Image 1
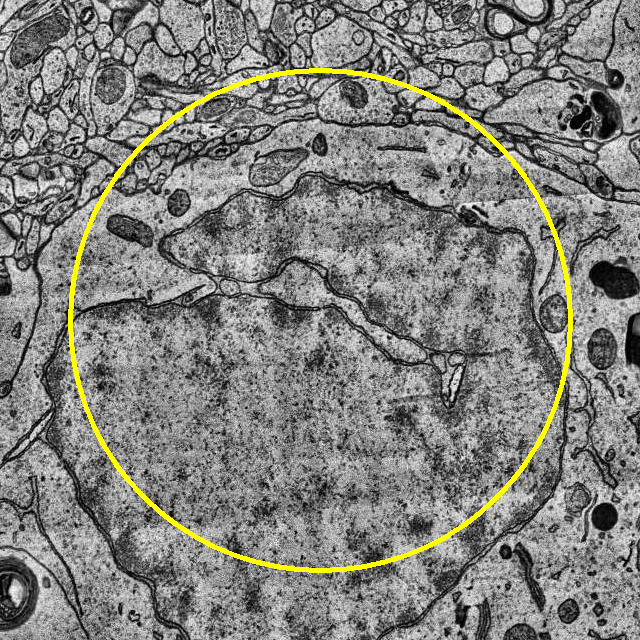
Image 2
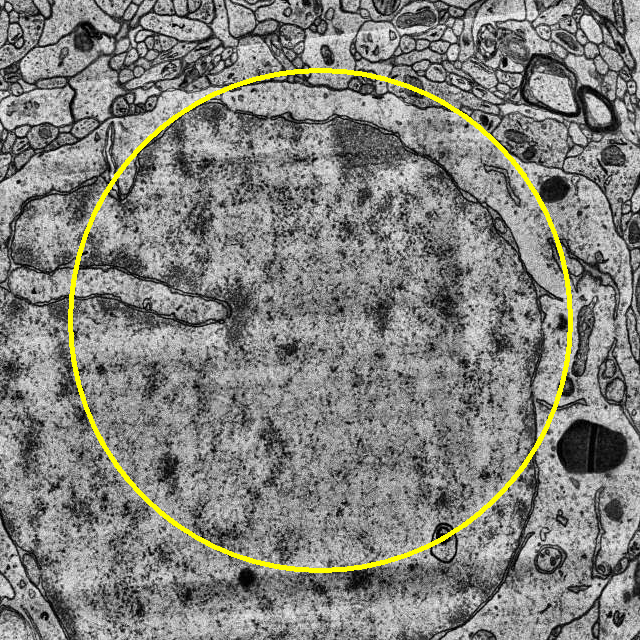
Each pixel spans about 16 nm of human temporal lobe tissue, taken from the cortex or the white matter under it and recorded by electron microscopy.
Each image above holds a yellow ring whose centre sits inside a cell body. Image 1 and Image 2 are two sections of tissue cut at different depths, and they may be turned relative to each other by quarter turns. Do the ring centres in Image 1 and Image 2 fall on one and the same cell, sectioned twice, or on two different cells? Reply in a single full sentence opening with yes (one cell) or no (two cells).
Yes, both rings identify a single, shared cell.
